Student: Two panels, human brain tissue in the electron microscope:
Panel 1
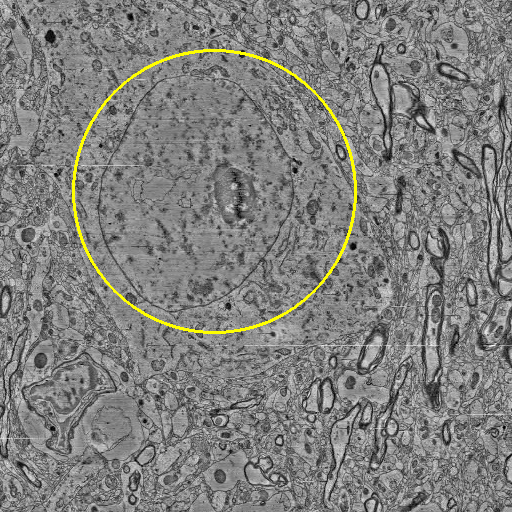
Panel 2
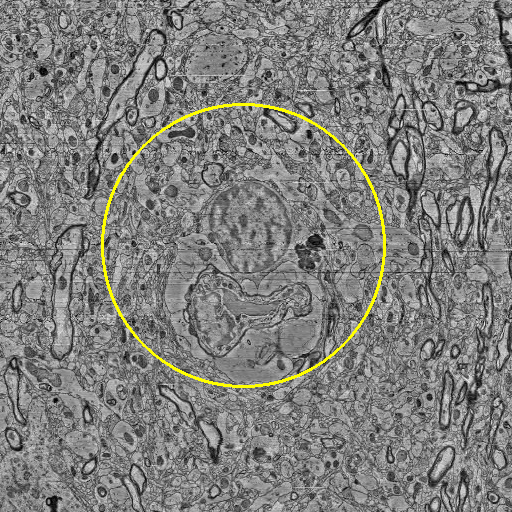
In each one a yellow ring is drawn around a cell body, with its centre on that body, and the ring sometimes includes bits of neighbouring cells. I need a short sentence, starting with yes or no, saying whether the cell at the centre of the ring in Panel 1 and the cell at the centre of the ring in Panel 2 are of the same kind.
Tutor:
No, they are two kinds of cell.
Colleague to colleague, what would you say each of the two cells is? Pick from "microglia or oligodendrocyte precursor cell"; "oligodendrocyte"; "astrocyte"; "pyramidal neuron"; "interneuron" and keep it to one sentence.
The cell in the first picture is a pyramidal neuron; the second picture's cell is an oligodendrocyte.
